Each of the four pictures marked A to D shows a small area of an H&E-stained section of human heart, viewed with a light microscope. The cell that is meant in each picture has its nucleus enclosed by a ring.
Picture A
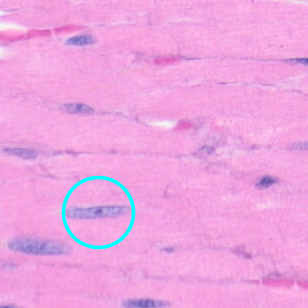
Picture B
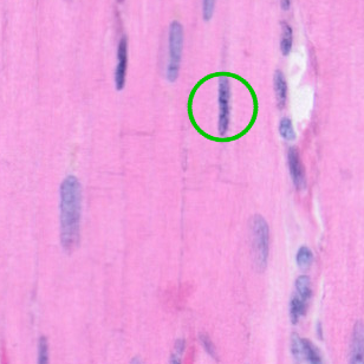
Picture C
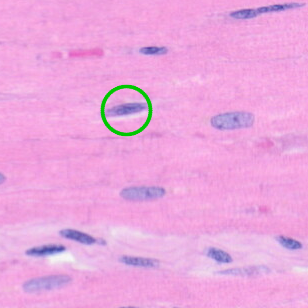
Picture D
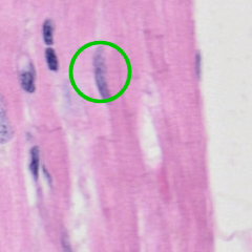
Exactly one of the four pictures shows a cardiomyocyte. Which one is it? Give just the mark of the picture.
A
